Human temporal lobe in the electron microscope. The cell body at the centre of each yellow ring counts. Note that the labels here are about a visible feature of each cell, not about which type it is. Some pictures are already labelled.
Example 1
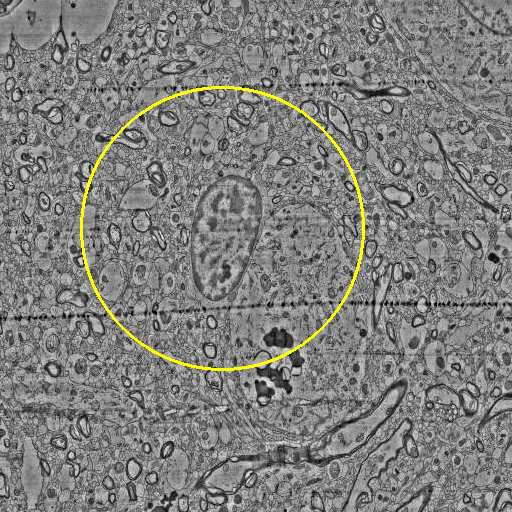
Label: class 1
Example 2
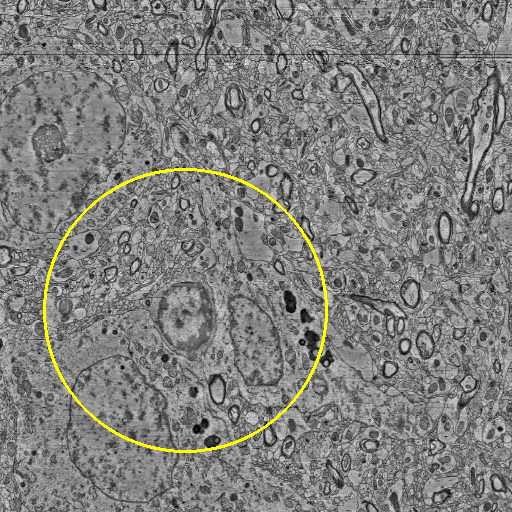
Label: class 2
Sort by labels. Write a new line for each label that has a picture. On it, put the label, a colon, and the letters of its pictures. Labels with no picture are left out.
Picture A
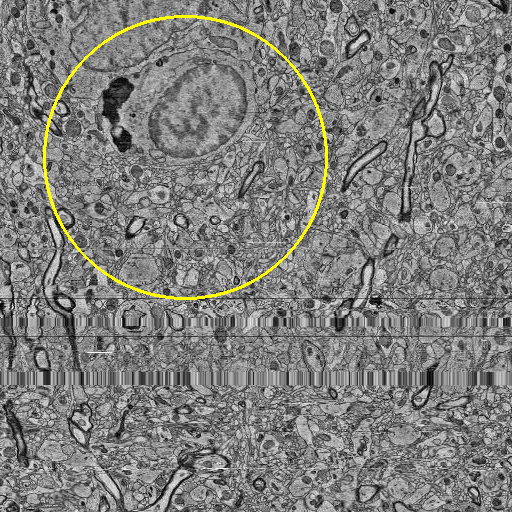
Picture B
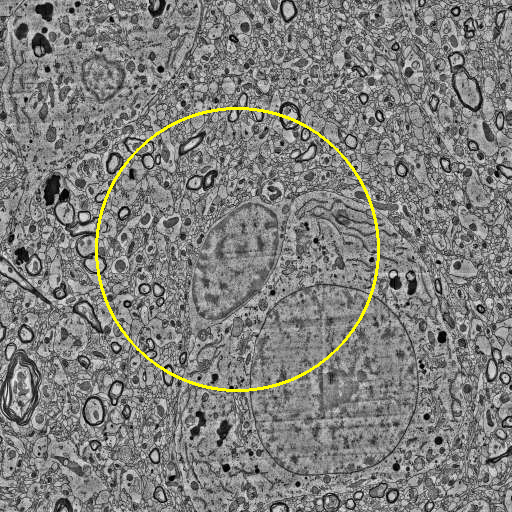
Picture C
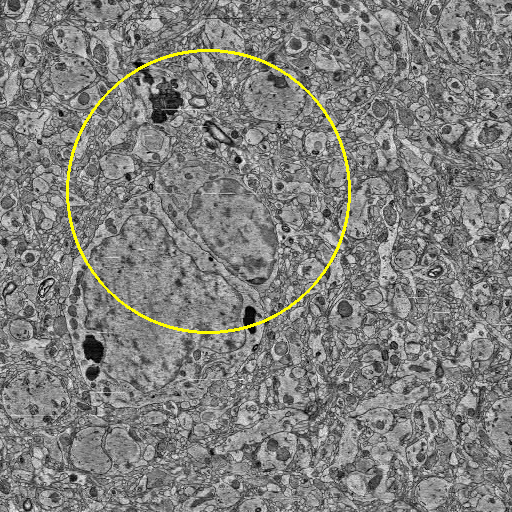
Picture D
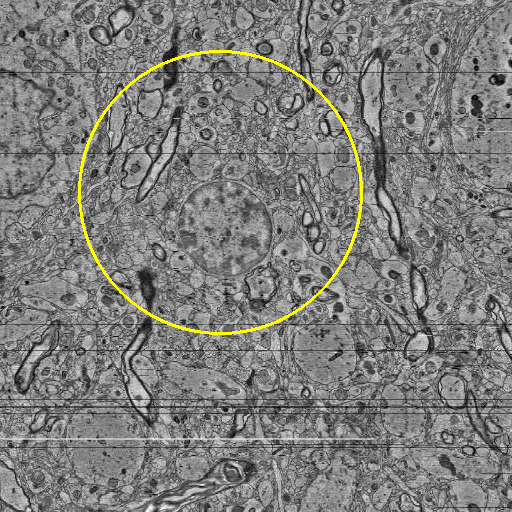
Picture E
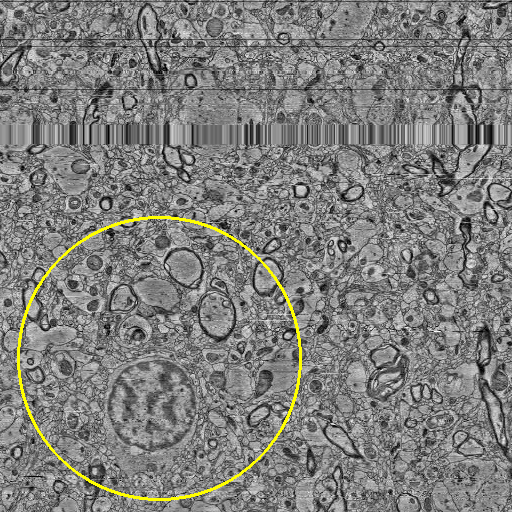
class 1: B, C
class 2: A, D, E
